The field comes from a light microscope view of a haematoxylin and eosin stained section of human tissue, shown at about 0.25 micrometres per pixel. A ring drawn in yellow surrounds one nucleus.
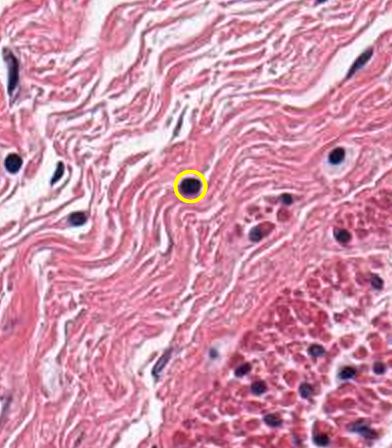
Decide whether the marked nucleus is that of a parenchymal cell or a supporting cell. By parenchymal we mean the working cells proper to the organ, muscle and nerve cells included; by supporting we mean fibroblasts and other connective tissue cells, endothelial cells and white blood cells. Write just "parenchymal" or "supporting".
supporting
